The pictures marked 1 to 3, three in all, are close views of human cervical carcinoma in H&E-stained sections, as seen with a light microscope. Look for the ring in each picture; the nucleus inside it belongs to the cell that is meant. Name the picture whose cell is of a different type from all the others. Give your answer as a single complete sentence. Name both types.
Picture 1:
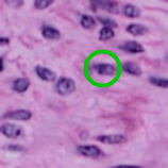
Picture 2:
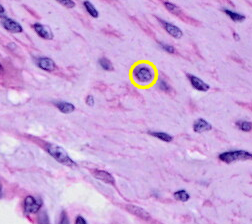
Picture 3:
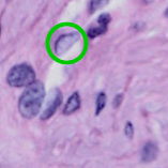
The different one is picture 3; it shows an endothelial cell, whereas all the others show smooth muscle cells.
